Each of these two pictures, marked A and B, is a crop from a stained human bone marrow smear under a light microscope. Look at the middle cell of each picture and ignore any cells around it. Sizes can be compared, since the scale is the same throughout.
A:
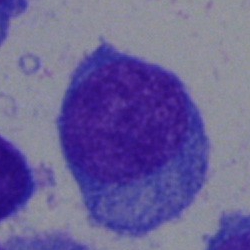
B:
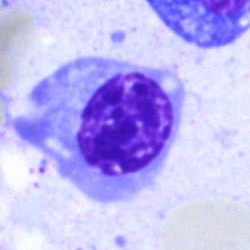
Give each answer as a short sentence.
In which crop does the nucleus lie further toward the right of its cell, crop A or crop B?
It is the nucleus in crop B that lies further toward the right of its cell.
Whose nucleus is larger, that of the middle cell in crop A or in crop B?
It is the nucleus in crop A, about 2 times as large in area as the one in crop B.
